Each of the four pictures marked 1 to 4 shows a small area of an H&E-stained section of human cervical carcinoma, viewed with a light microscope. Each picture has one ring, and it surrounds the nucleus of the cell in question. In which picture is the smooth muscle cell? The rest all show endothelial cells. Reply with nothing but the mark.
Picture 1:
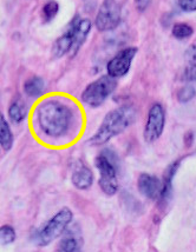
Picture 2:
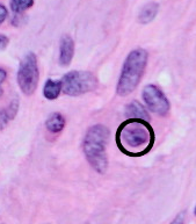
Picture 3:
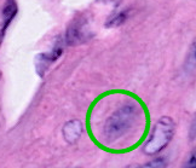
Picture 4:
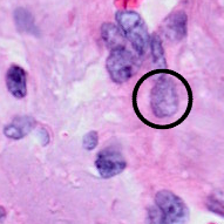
3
